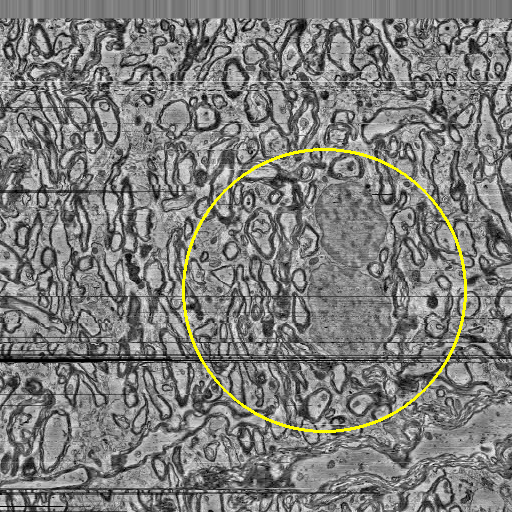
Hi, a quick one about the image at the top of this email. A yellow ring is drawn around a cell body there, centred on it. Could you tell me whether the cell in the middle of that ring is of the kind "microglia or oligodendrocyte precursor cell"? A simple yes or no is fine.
no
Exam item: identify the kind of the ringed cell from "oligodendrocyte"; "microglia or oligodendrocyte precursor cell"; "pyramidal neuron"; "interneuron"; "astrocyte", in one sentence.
It is an oligodendrocyte that the ring is centred on.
